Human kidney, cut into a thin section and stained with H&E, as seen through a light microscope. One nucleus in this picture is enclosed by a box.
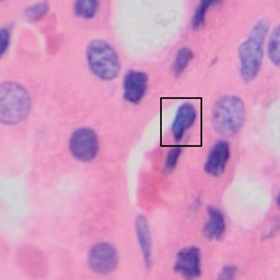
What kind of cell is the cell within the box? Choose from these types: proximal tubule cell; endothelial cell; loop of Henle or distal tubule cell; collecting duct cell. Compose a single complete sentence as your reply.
It is as an endothelial cell that the cell within the box is classified.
